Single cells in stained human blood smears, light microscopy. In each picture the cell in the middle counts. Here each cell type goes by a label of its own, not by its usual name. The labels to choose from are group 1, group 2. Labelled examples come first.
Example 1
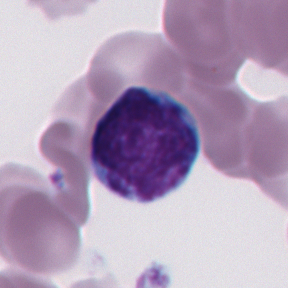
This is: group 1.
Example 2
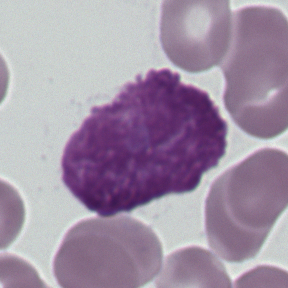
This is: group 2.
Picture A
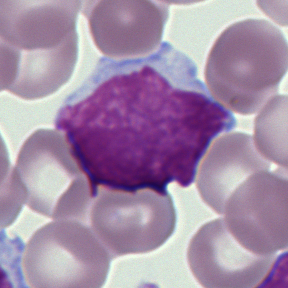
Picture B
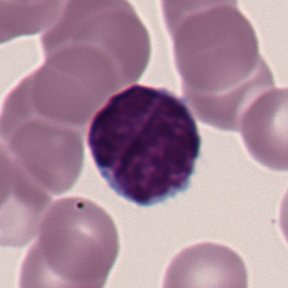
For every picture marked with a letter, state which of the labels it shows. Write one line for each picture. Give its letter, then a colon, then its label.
A: group 1.
B: group 1.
